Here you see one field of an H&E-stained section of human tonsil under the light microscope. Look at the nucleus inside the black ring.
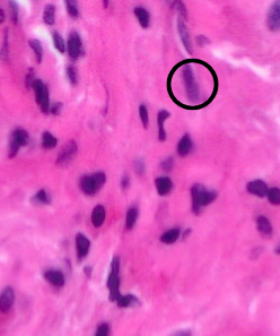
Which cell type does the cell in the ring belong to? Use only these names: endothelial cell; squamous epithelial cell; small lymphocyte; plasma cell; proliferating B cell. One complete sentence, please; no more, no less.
In this tissue section, the cell in the ring is to be classed as an endothelial cell.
